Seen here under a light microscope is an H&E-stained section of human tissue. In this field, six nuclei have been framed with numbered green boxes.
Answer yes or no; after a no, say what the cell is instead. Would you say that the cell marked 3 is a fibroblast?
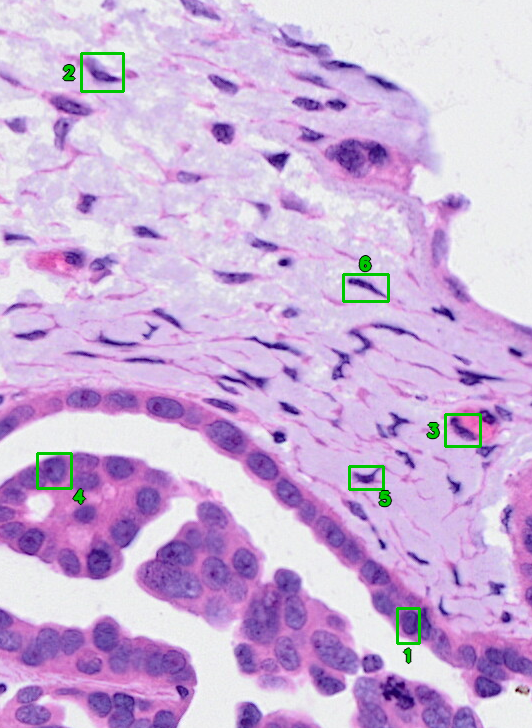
No, it is an endothelial cell.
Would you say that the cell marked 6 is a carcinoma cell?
No, it is a fibroblast.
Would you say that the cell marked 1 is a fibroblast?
No, it is a carcinoma cell.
